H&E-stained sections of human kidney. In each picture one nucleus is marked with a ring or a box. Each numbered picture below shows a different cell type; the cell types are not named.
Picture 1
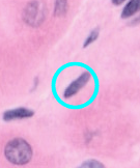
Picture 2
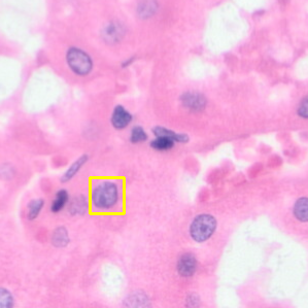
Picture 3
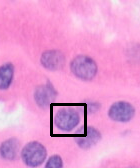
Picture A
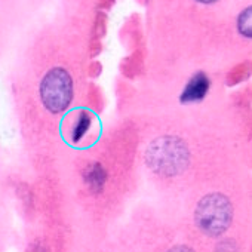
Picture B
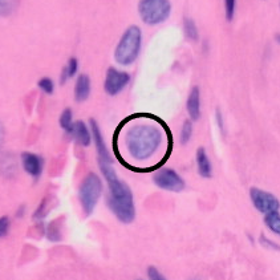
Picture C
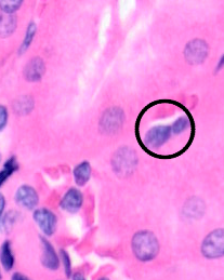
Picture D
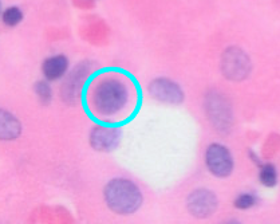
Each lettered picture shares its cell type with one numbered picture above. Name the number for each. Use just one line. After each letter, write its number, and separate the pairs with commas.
A 1, B 3, C 1, D 3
